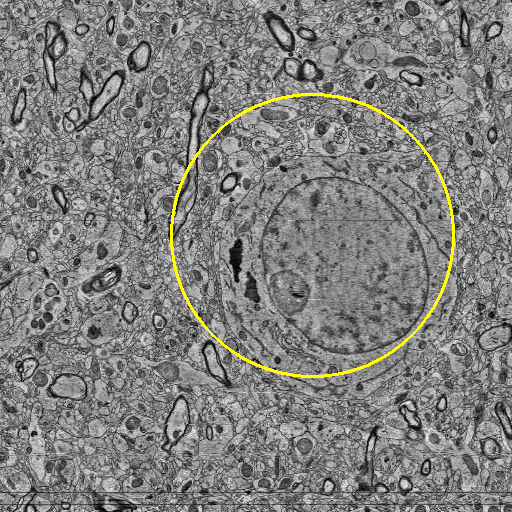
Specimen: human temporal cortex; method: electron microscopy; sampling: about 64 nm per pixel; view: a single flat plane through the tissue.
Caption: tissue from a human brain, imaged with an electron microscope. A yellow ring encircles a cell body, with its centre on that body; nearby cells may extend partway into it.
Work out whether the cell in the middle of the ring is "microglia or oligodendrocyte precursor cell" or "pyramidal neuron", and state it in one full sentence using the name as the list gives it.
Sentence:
In the picture, the cell that the yellow ring surrounds at its centre is a pyramidal neuron.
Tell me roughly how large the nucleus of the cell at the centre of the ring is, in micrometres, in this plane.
Roughly 12 micrometres by 10 micrometres, in this plane.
